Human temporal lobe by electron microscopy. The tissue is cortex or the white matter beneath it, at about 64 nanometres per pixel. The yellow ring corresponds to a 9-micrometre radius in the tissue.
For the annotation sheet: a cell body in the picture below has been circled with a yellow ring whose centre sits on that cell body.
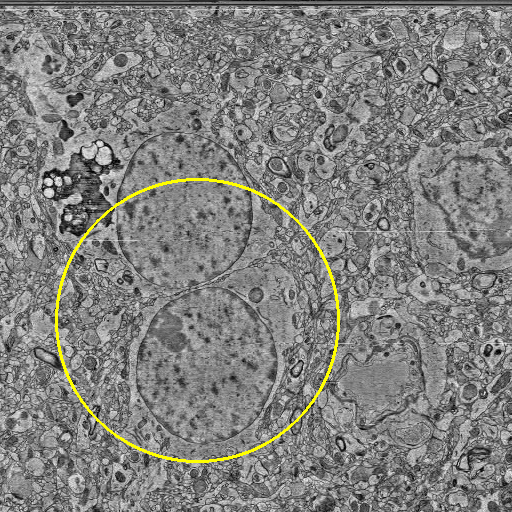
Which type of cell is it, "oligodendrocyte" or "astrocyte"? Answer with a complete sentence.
The circled cell is an astrocyte.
